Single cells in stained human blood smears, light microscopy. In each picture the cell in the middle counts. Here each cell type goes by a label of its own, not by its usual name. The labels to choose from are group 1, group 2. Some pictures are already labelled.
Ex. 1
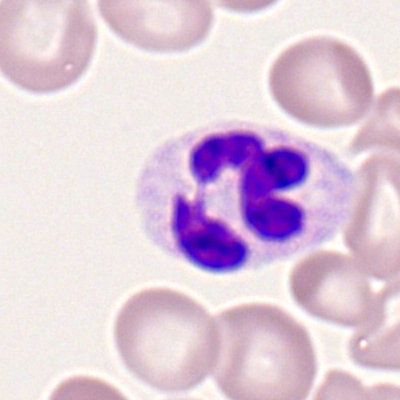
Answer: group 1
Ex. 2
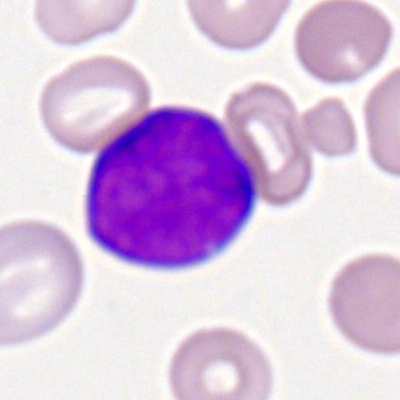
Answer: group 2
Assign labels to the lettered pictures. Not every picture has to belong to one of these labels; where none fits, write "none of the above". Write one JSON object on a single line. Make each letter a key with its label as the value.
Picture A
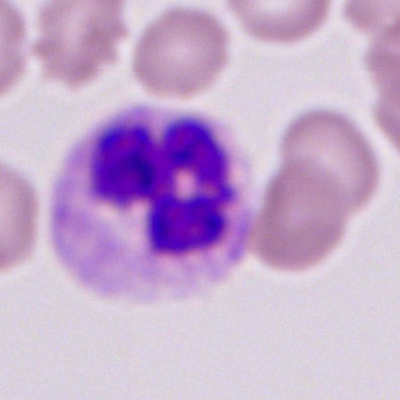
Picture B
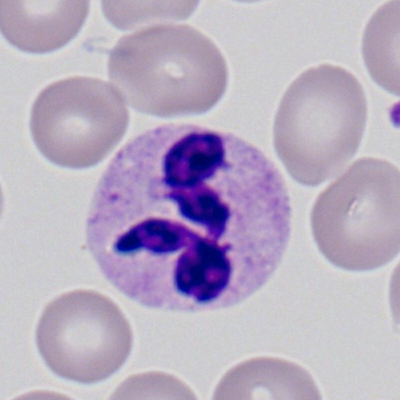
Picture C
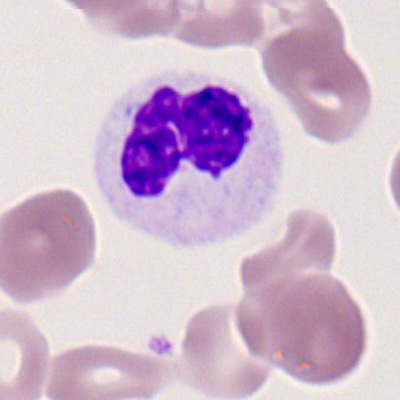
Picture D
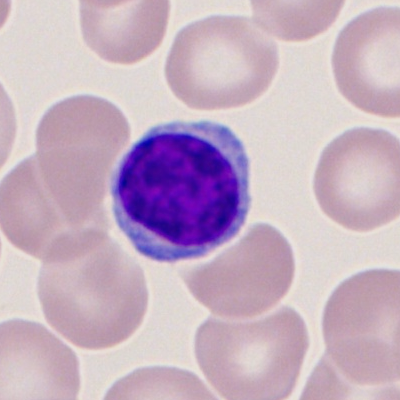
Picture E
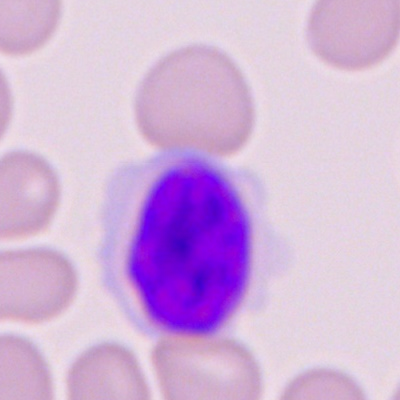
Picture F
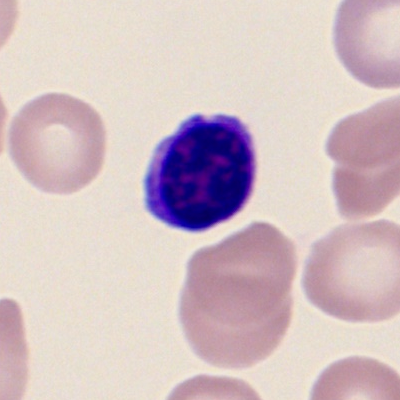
{"A": "group 1", "B": "group 1", "C": "group 1", "D": "none of the above", "E": "none of the above", "F": "none of the above"}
